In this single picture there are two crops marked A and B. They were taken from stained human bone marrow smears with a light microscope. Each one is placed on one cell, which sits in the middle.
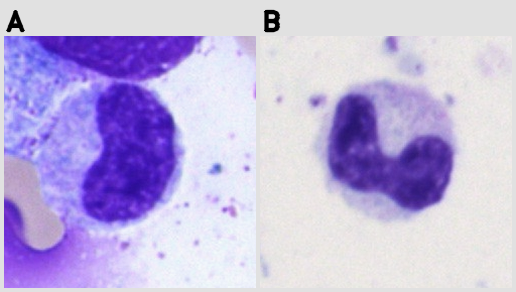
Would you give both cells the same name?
no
